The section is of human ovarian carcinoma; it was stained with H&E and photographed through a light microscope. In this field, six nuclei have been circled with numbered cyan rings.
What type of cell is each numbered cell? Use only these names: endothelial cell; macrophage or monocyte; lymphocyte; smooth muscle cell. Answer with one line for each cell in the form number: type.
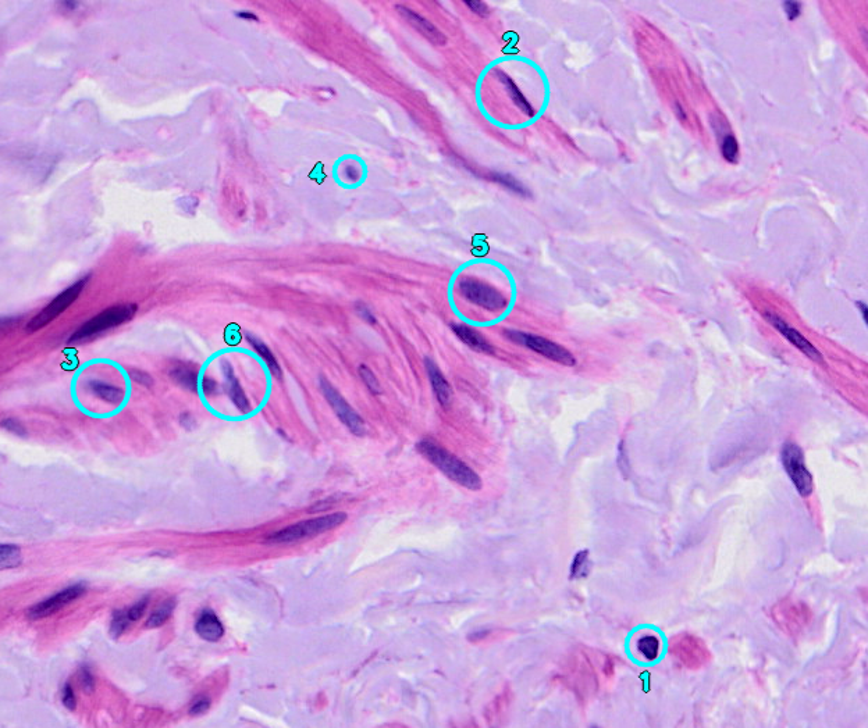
1: lymphocyte
2: smooth muscle cell
3: smooth muscle cell
4: lymphocyte
5: smooth muscle cell
6: smooth muscle cell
